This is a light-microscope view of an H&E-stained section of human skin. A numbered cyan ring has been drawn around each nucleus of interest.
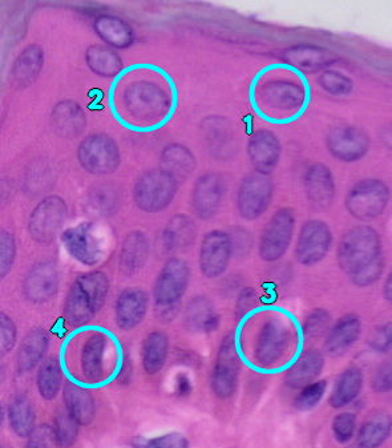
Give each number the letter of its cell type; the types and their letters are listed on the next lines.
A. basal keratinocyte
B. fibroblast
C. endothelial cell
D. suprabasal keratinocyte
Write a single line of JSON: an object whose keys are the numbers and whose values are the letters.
{"1": "D", "2": "D", "3": "A", "4": "A"}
